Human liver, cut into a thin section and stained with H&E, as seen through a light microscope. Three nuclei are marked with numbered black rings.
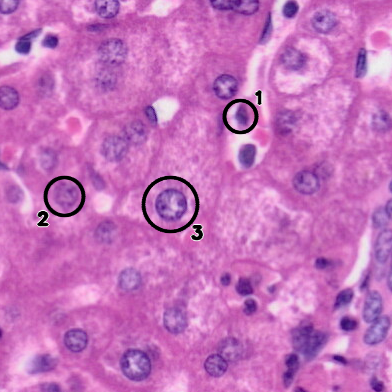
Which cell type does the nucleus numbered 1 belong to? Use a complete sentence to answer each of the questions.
The cell referenced by the number 1 is a Kupffer cell in this field.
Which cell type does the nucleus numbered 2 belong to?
Belonging to a hepatocyte is the nucleus that carries the number 2.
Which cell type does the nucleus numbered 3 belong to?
What the number 3 marks in this field is a hepatocyte.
